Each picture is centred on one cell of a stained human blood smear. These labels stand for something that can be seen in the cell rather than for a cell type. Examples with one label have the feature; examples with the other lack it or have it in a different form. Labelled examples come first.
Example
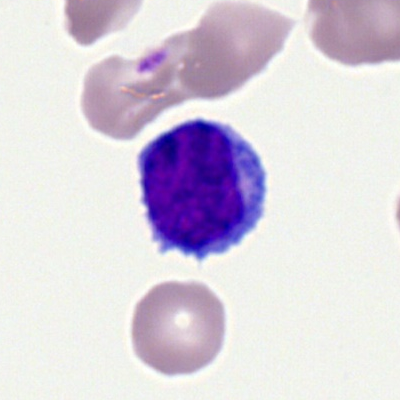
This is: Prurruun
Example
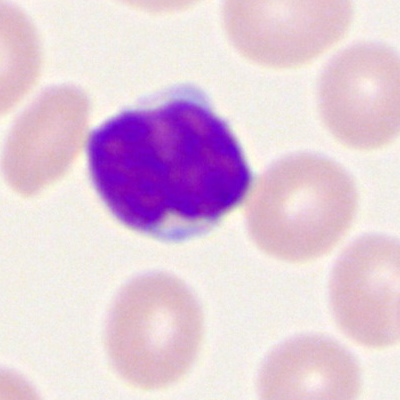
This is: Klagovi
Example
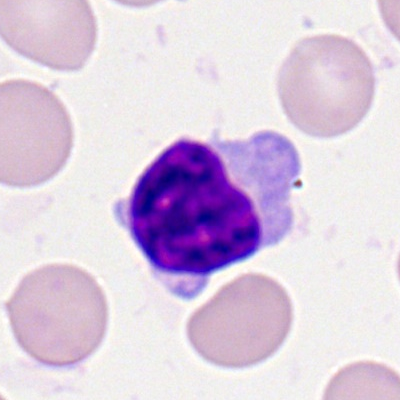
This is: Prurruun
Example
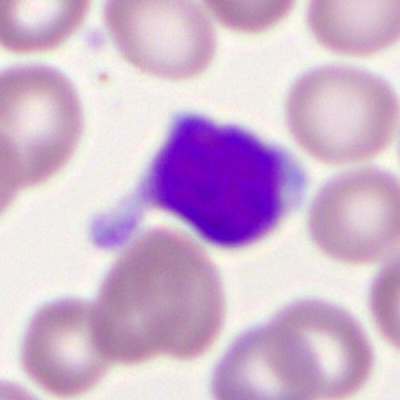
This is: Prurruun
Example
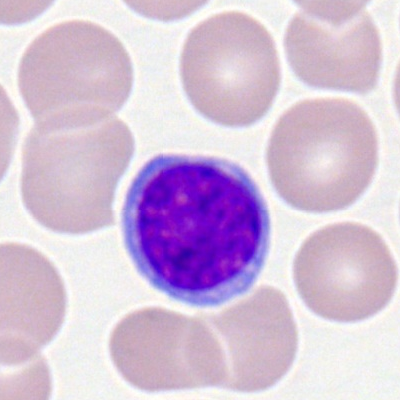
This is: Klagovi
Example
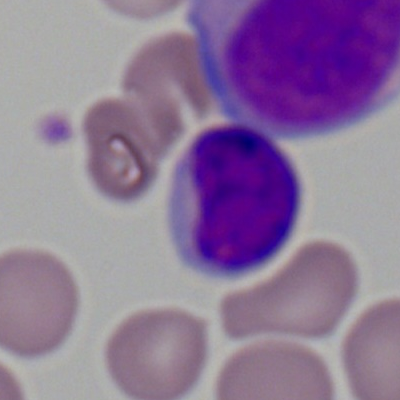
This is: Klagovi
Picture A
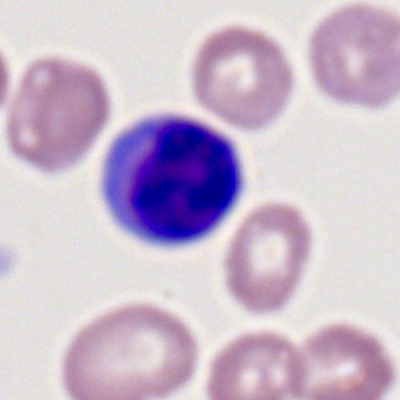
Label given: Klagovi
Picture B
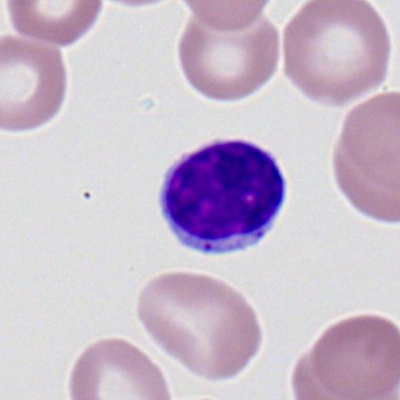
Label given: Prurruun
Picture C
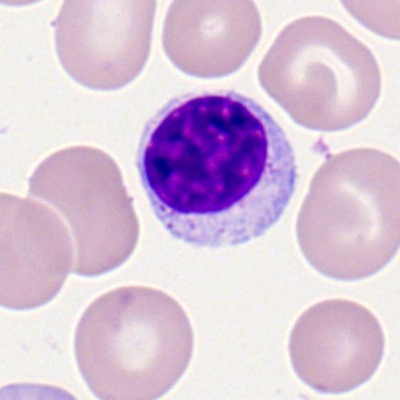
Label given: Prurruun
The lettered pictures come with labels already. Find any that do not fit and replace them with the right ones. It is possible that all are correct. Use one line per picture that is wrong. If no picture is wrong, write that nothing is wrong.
B: Klagovi, not Prurruun
C: Klagovi, not Prurruun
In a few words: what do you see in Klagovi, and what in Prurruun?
Klagovi: smooth outline; Prurruun: ragged outline or projections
